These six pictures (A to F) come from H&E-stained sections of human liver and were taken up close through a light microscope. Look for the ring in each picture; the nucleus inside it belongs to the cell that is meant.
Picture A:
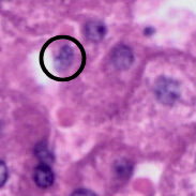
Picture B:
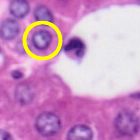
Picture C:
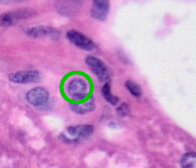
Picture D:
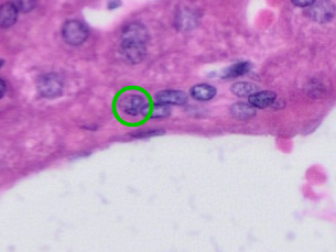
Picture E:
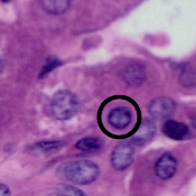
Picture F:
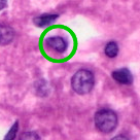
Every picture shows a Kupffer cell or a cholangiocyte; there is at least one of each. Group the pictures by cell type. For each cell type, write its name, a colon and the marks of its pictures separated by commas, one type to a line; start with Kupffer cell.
Kupffer cell: A, F
cholangiocyte: B, C, D, E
